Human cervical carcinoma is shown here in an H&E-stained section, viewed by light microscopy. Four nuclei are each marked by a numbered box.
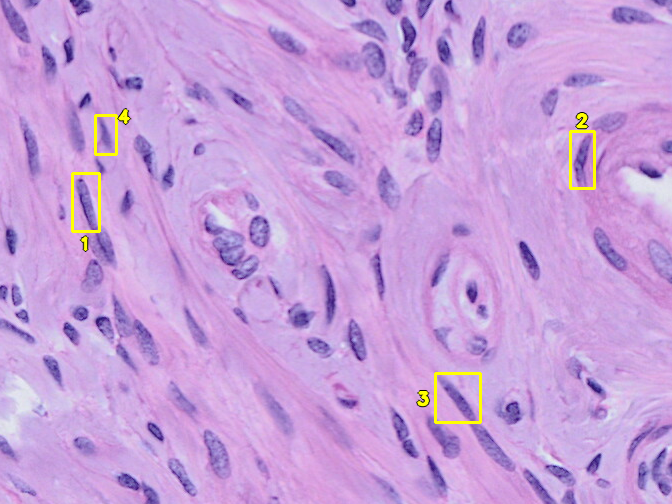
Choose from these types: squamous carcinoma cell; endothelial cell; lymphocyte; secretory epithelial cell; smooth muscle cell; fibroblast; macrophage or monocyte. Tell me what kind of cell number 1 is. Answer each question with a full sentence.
To a fibroblast belongs the nucleus marked 1.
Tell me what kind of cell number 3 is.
In this section, the cell numbered 3 is a fibroblast.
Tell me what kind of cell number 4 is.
Here the cell numbered 4 is a fibroblast.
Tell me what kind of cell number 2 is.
The cell carrying label 2 is identified as a smooth muscle cell.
